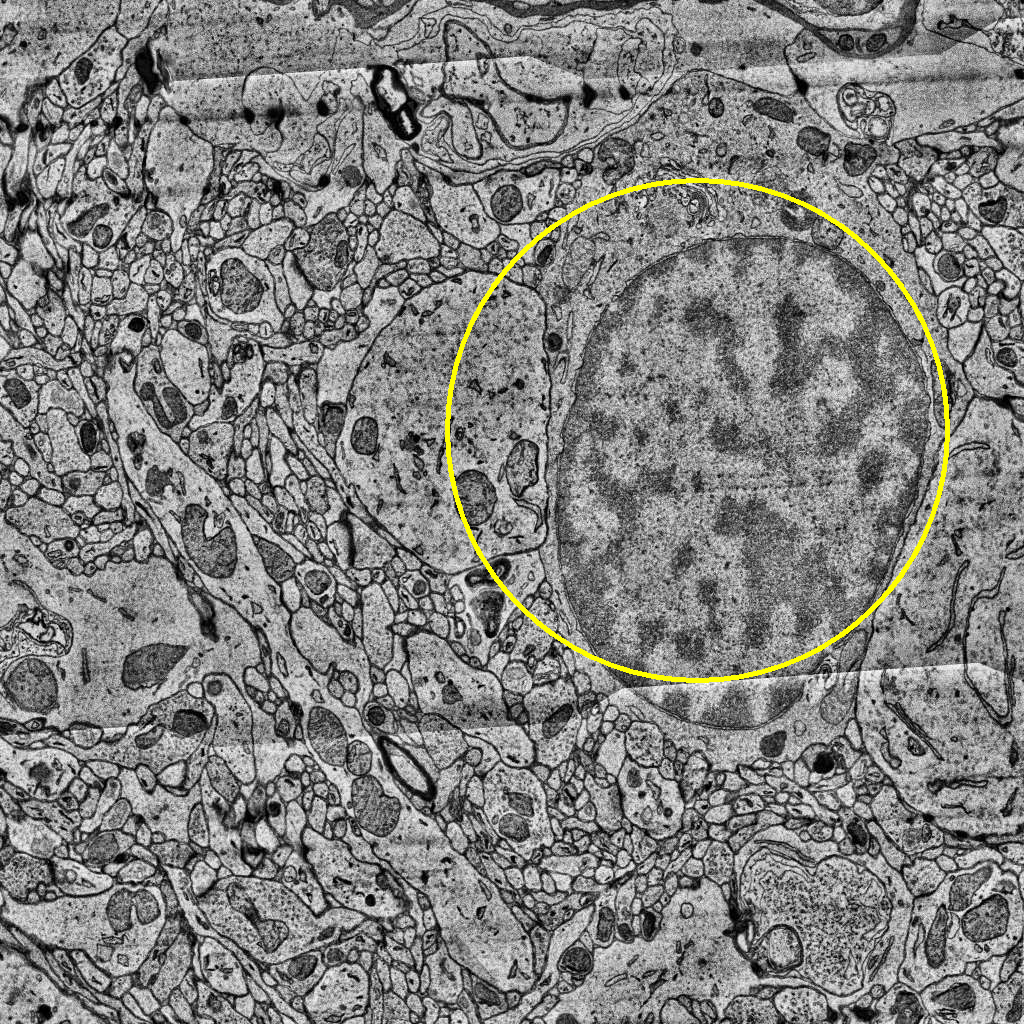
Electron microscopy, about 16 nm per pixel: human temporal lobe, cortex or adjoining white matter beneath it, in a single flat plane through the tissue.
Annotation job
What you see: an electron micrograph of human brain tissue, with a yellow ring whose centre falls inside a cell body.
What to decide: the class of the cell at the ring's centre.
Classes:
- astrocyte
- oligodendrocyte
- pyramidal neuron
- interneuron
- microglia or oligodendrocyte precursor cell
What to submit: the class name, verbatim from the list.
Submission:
oligodendrocyte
